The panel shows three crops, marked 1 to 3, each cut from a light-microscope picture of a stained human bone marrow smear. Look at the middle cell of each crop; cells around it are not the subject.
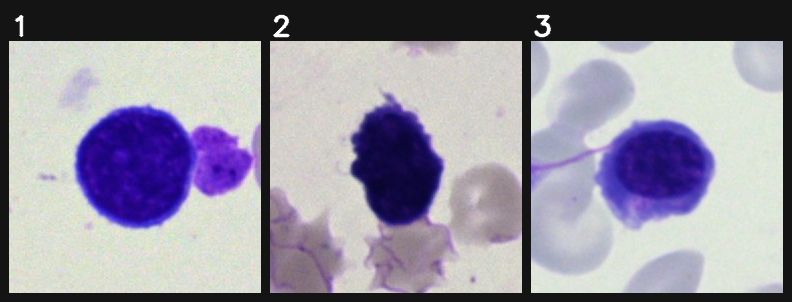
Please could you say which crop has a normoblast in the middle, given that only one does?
3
